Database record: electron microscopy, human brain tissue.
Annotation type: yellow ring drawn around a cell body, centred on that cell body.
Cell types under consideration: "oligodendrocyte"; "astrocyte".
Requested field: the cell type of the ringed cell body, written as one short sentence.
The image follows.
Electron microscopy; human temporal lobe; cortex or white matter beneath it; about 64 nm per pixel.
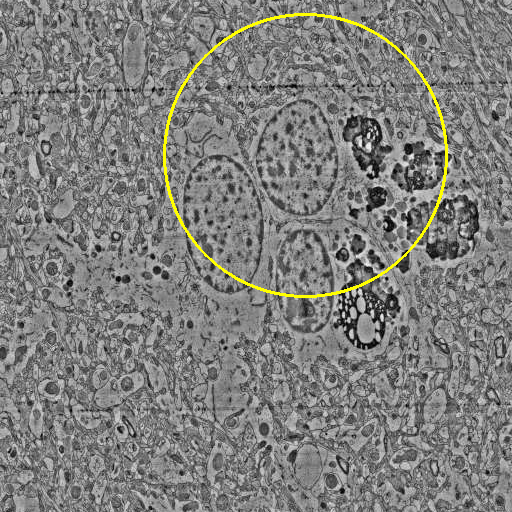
The ringed cell body represents an astrocyte.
